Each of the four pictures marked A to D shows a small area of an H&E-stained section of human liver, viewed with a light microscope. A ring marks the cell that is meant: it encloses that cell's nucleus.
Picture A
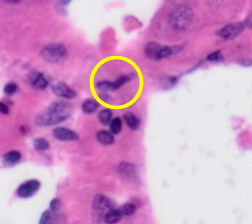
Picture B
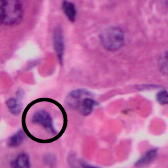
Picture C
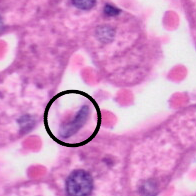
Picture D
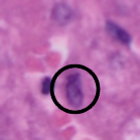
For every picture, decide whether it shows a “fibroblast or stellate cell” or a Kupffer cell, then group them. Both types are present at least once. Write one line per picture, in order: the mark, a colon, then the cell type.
A: fibroblast or stellate cell
B: fibroblast or stellate cell
C: Kupffer cell
D: Kupffer cell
